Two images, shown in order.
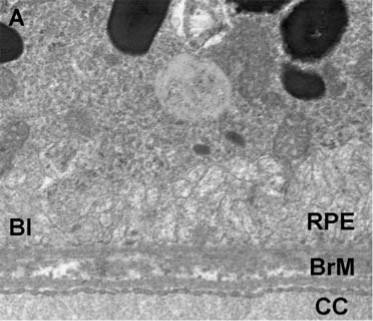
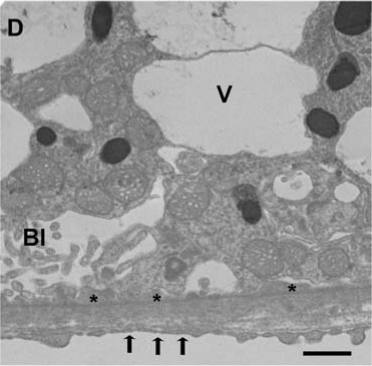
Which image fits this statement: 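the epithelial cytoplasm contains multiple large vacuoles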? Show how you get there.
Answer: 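Second image: several large empty pale spaces fill the cytoplasm between mitochondria. First image: the cytoplasm is evenly granular with no large empty spaces. On this evidence: the second image.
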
